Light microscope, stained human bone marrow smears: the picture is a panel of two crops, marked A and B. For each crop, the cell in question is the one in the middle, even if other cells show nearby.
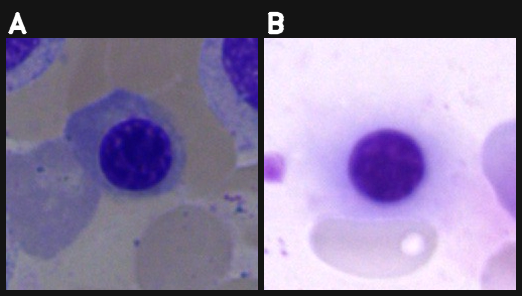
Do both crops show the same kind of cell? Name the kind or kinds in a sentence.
Yes, both crops alike show normoblasts at the centre.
